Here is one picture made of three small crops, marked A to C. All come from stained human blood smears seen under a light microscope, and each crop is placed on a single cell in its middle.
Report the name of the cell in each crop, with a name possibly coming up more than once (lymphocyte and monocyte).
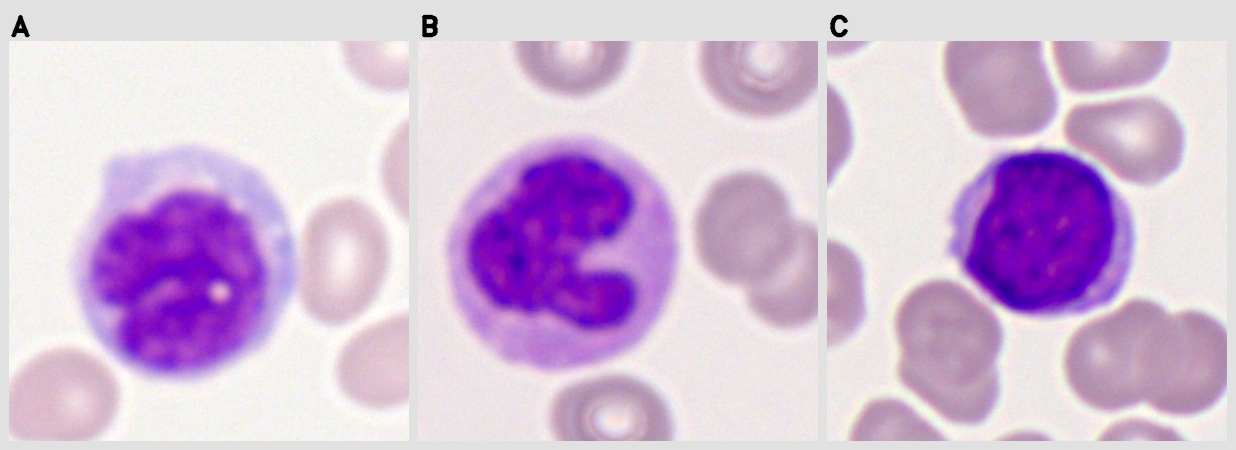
A: monocyte
B: monocyte
C: lymphocyte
